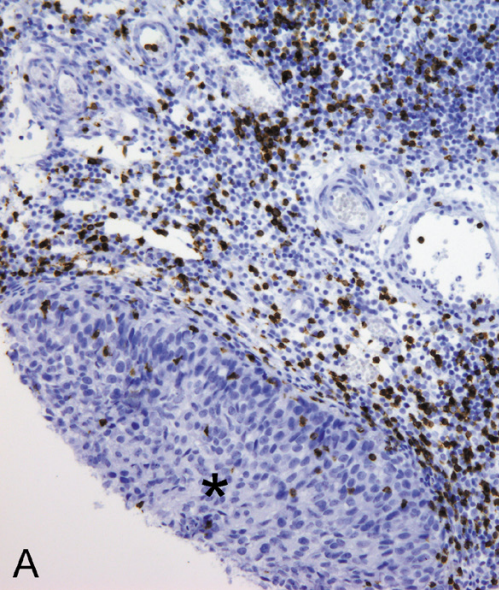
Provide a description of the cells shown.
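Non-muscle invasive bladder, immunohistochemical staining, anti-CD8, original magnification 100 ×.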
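Loose tissue with small vessels is crowded with small round cells, many of which stain dark brown, while at lower left lies a compact sheet of larger epithelial cells with oval blue nuclei and pale cytoplasm. The brown cells are small, with round nuclei and little cytoplasm, and gather in clusters and bands within the loose tissue. Only a few of them lie within the epithelial sheet. This is a tumor with abundant infiltrating lymphocytes, mostly in the cancer stroma and rarely within the epithelial part.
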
